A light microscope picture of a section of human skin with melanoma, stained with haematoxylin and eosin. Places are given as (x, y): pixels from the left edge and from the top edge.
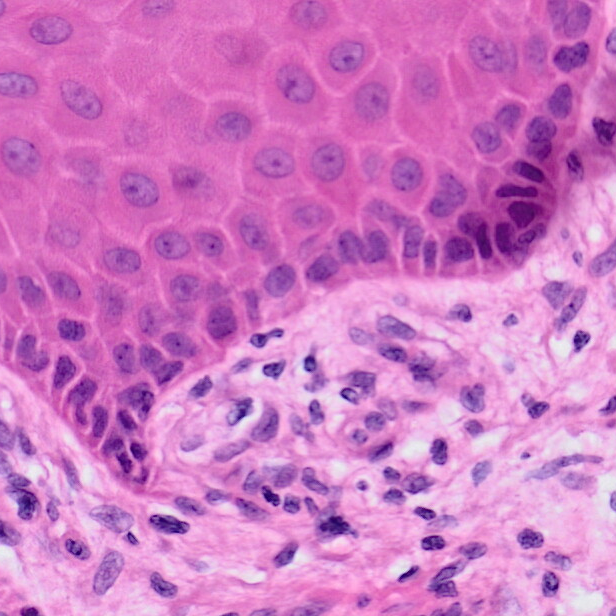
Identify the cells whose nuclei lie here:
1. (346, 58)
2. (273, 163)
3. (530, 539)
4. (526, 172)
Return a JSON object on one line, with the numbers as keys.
{"1": "keratinocyte", "2": "keratinocyte", "3": "lymphocyte", "4": "keratinocyte"}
